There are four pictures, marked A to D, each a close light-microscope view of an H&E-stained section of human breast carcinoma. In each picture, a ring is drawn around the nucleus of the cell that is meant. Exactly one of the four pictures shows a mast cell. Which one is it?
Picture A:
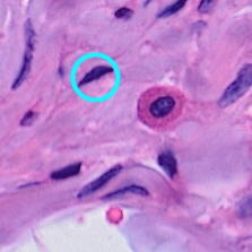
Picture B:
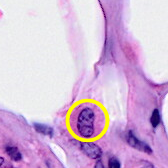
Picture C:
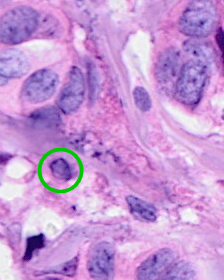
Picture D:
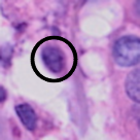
B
